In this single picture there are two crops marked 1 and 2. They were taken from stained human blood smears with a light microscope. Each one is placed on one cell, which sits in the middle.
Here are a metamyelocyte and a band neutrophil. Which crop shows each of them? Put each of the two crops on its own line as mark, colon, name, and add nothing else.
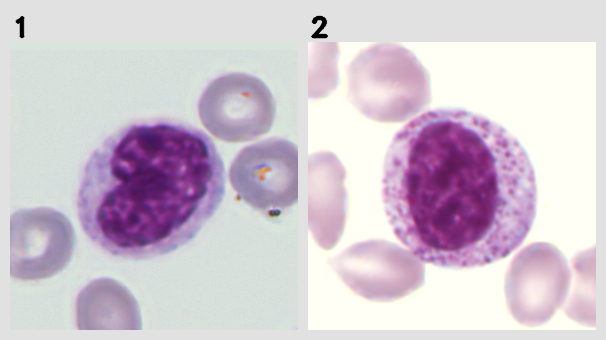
1: band neutrophil
2: metamyelocyte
